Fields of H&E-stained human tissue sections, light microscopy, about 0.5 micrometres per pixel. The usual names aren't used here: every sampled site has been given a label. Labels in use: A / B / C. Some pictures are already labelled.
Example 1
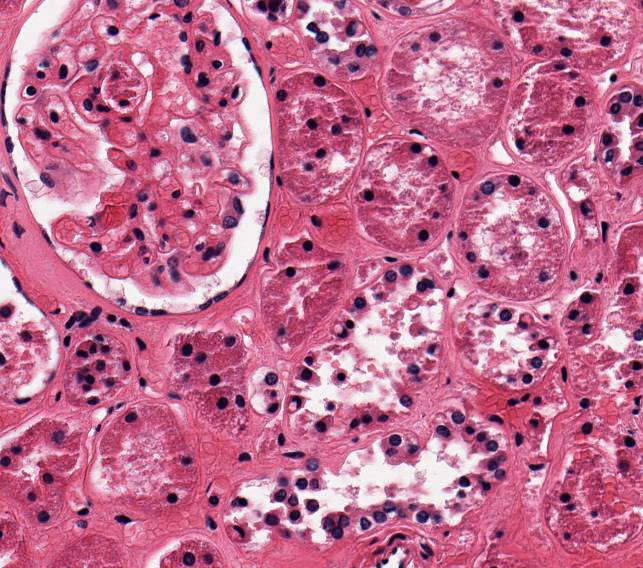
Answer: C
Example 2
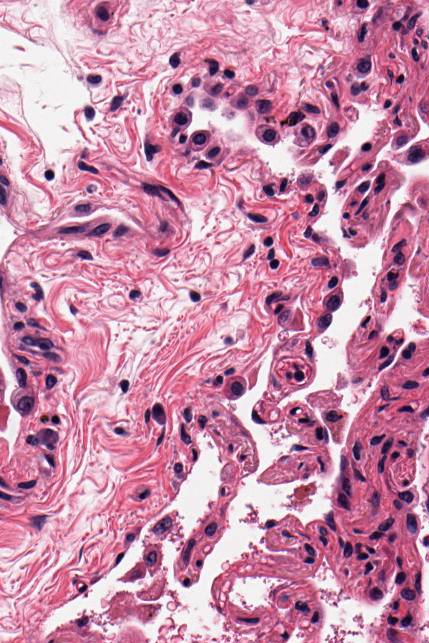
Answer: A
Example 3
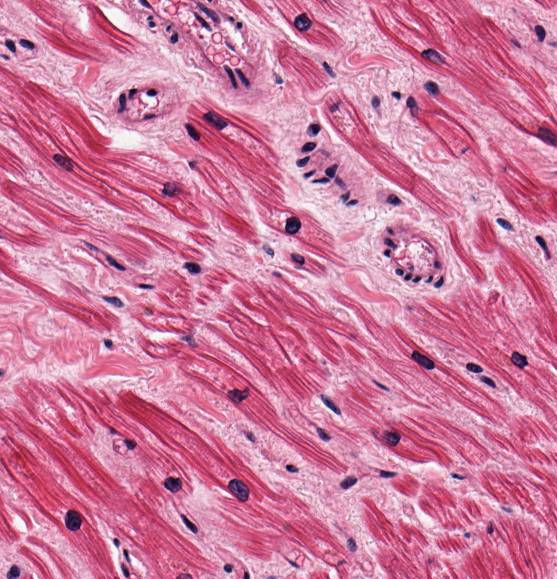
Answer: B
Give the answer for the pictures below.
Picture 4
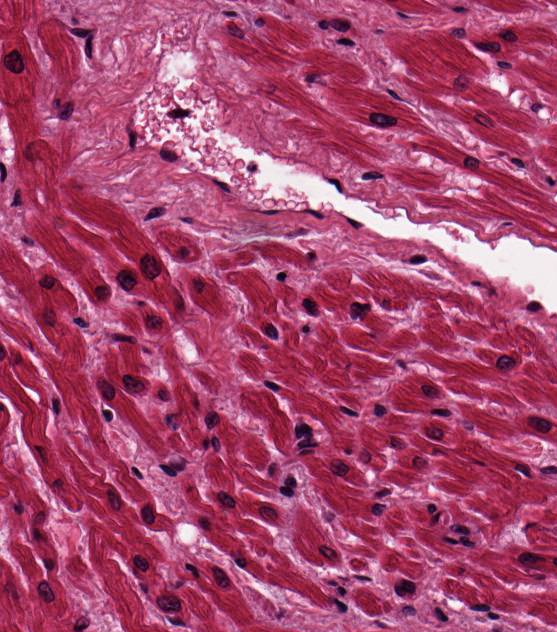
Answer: B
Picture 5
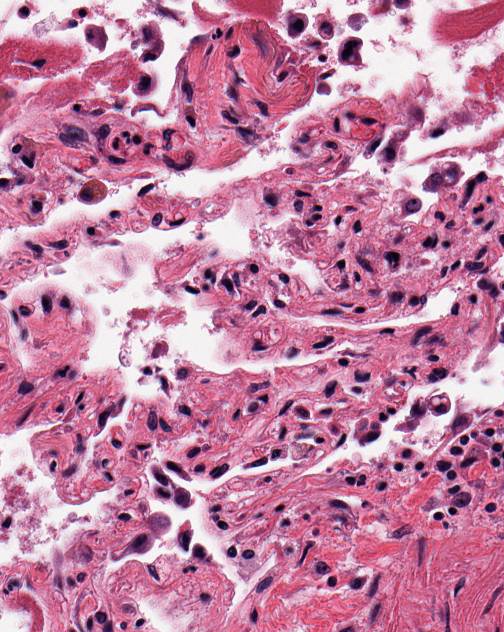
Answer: A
